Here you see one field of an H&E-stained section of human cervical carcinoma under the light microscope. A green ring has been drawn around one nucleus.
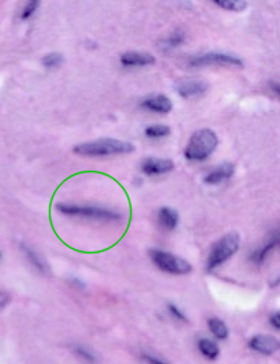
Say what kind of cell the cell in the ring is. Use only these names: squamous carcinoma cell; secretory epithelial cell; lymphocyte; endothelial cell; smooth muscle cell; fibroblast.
fibroblast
